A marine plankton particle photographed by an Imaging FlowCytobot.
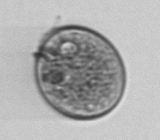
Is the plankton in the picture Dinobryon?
No, it is Prorocentrum.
